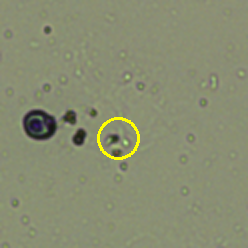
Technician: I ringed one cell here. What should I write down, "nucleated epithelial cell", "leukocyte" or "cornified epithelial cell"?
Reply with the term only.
leukocyte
